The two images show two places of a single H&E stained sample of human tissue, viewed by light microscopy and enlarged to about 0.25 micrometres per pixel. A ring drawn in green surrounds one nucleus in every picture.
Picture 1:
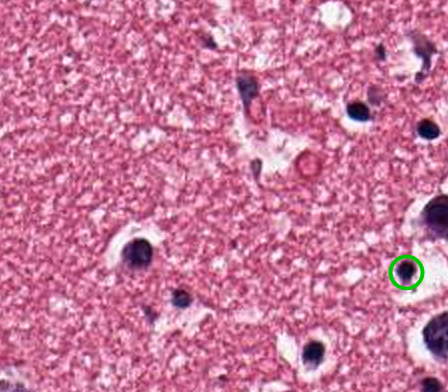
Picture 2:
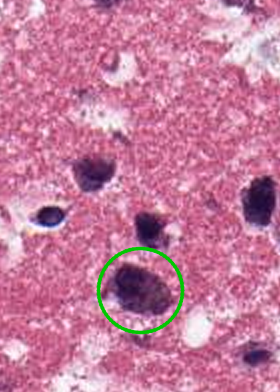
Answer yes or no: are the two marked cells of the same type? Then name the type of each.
No, the first is an oligodendrocyte and the second a neuron.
